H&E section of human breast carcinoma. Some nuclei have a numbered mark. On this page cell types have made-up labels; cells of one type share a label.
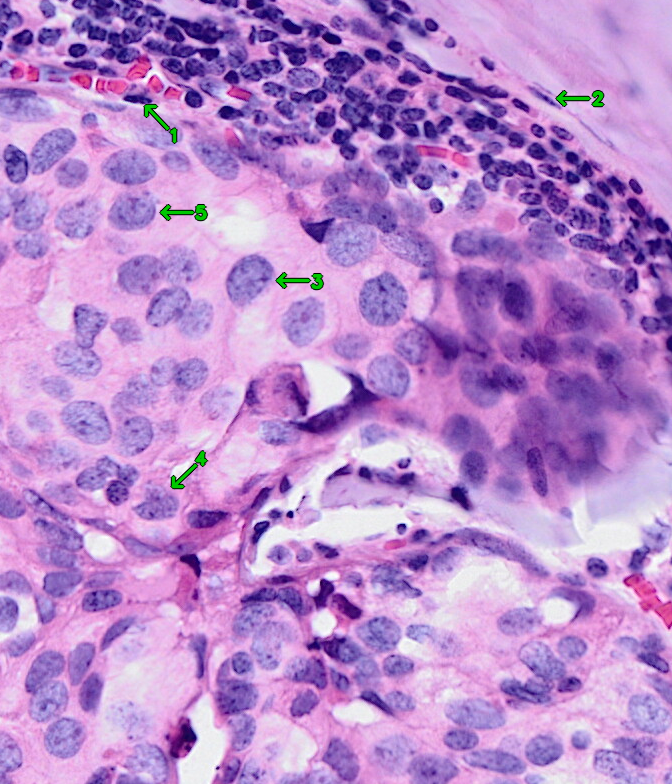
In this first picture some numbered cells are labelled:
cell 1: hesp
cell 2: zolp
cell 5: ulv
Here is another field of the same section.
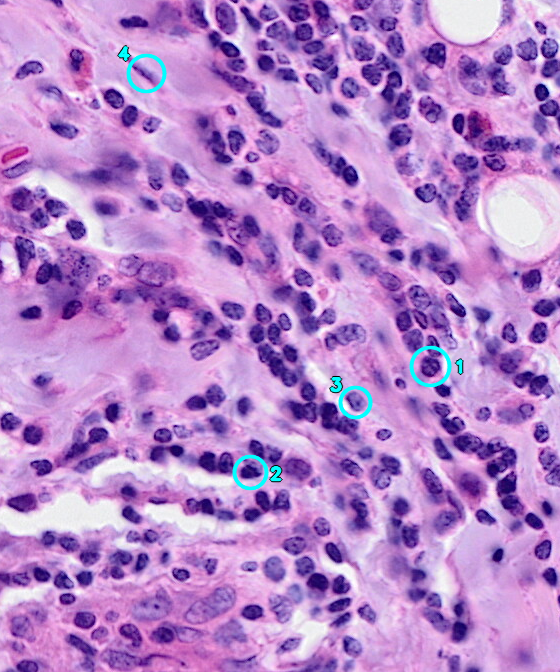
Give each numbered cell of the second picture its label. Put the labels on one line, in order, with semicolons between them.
hesp; hesp; hesp; zolp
